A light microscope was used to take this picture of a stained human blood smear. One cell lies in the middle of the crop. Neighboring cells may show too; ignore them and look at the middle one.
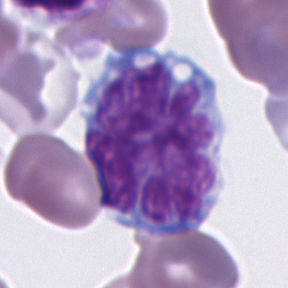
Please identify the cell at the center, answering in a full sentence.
On this slide crop, the central cell is a monocyte.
